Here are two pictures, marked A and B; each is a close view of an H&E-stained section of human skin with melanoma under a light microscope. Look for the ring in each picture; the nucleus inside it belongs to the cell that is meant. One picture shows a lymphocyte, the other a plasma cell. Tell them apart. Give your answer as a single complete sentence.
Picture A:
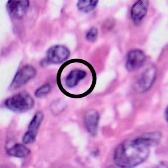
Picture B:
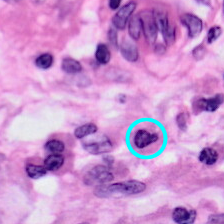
The cell in picture A is a lymphocyte, and the one in picture B is a plasma cell.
